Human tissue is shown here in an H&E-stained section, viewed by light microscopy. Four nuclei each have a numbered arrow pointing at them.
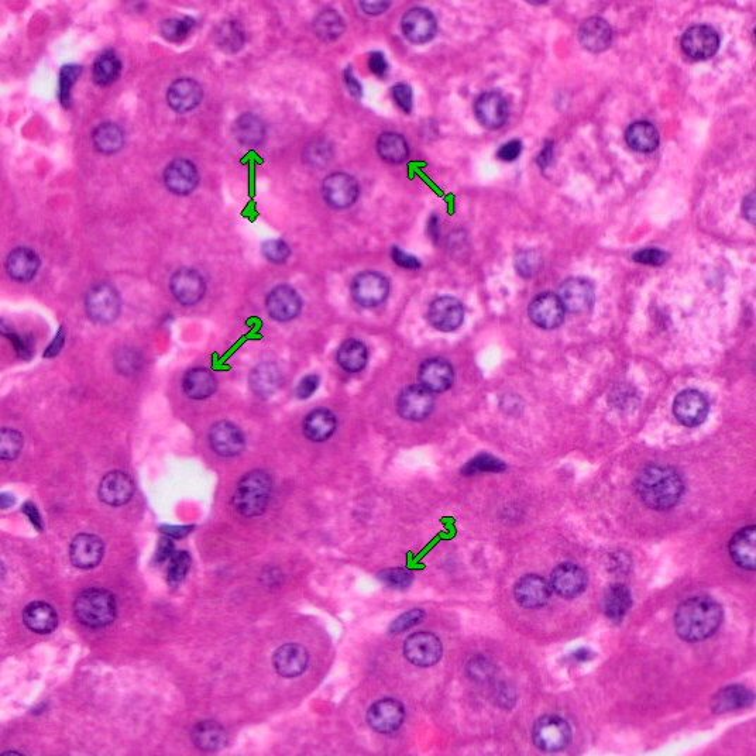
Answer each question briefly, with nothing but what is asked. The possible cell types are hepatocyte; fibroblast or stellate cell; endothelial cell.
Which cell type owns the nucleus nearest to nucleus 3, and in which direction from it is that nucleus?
a fibroblast or stellate cell; below nucleus 3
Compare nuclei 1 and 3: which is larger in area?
1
